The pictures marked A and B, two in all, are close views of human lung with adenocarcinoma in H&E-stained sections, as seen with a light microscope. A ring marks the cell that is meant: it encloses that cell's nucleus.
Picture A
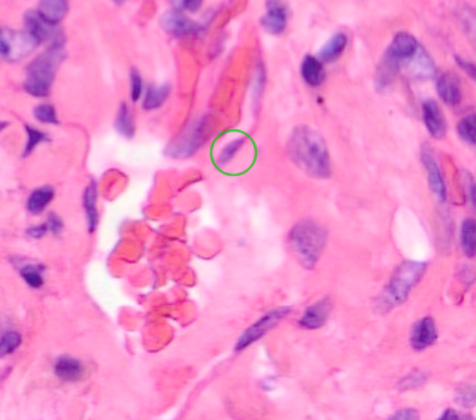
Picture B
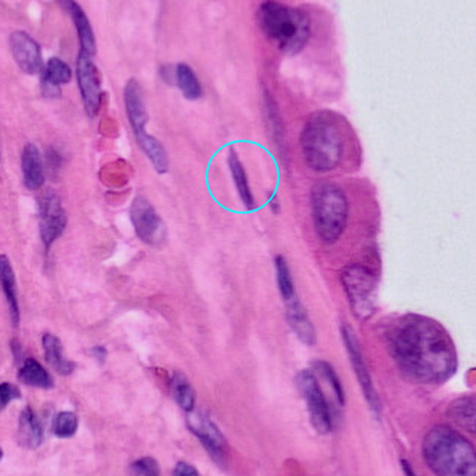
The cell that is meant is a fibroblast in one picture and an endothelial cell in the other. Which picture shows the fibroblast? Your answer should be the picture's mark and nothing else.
B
